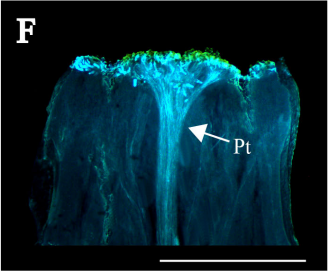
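This is the tip of a pistil seen under fluorescence, with pollen grains crowded along its upper surface and pollen tubes growing down into it. The stigma surface at the top carries a dense rim of small bright blue-green grains. From this rim a thick bundle of bright, thread-like strands converges and runs downward through the middle of the darker blue tissue. The surrounding tissue shows faint longitudinal streaks but is much dimmer than the central bundle.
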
